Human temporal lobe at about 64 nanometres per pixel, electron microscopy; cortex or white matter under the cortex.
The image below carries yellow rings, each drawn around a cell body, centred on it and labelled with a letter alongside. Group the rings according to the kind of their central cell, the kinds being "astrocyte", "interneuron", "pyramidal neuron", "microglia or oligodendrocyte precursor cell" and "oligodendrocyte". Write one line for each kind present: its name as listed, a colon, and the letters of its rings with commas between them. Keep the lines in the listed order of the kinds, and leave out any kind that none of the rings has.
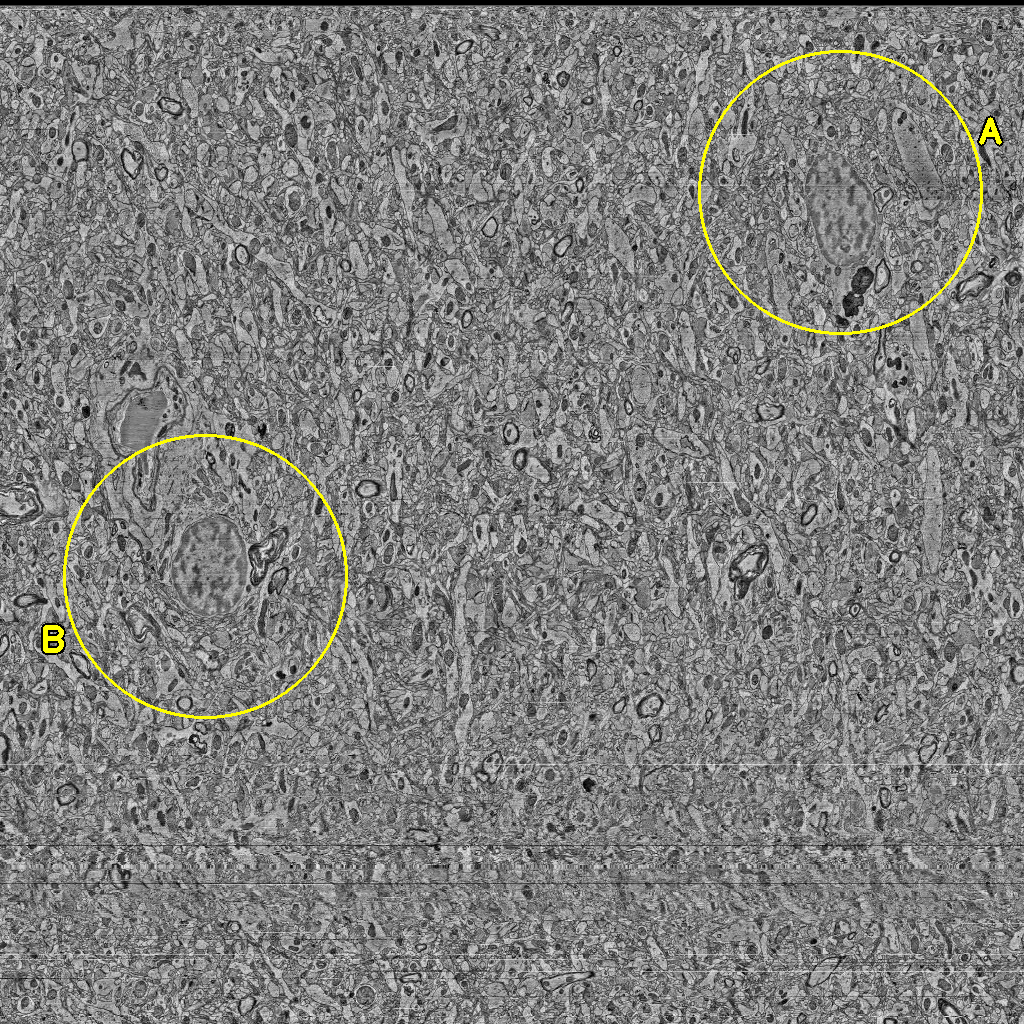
oligodendrocyte: A, B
